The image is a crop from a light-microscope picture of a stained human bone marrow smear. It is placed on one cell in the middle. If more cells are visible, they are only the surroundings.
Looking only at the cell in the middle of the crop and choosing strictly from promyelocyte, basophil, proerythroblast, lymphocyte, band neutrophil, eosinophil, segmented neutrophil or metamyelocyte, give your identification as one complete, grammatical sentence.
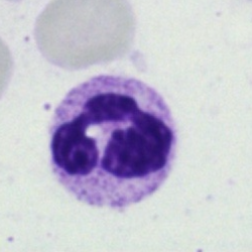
Here the cell in the middle is a segmented neutrophil.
